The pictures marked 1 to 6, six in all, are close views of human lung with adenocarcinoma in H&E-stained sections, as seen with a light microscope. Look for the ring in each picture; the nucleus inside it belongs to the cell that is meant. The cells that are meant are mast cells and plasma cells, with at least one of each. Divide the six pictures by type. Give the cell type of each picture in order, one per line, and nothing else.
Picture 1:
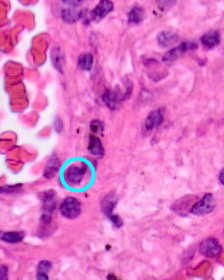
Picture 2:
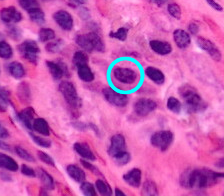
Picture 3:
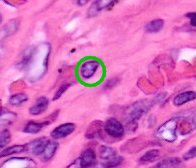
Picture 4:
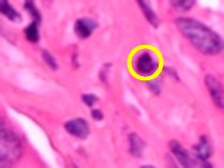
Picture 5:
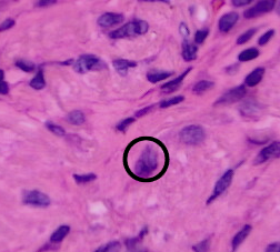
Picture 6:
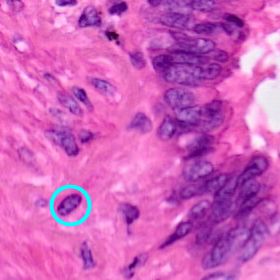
plasma cell
plasma cell
mast cell
plasma cell
plasma cell
mast cell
